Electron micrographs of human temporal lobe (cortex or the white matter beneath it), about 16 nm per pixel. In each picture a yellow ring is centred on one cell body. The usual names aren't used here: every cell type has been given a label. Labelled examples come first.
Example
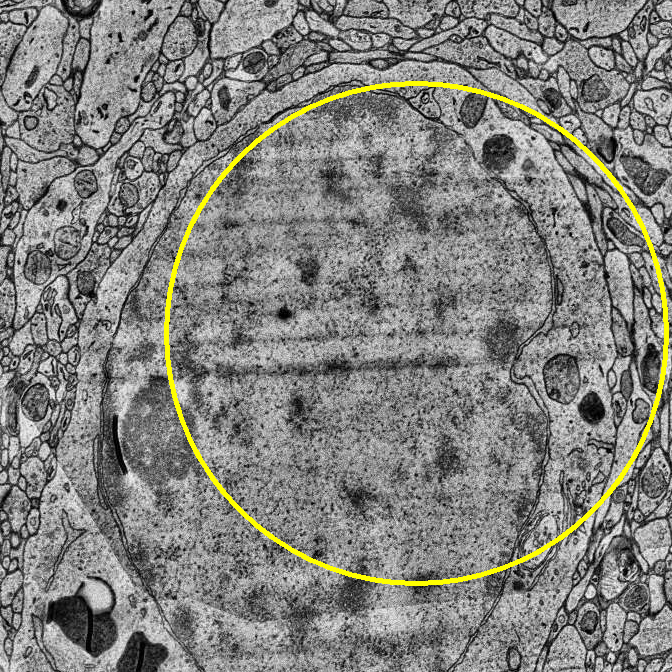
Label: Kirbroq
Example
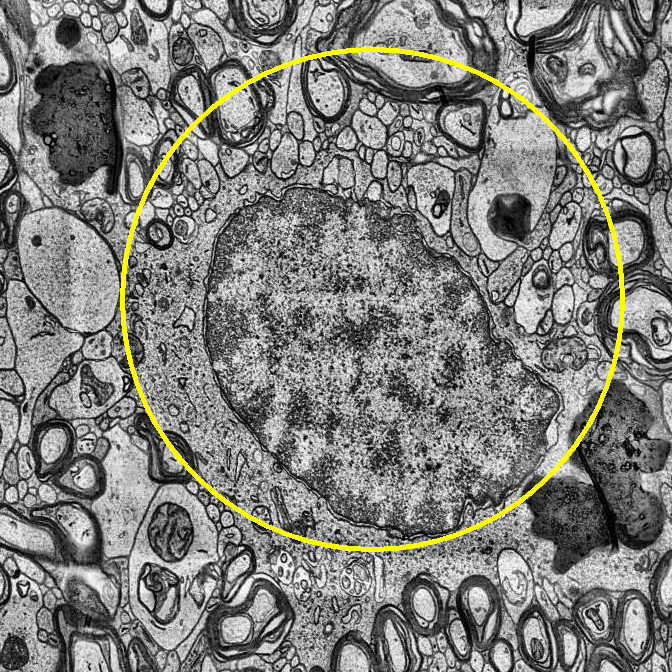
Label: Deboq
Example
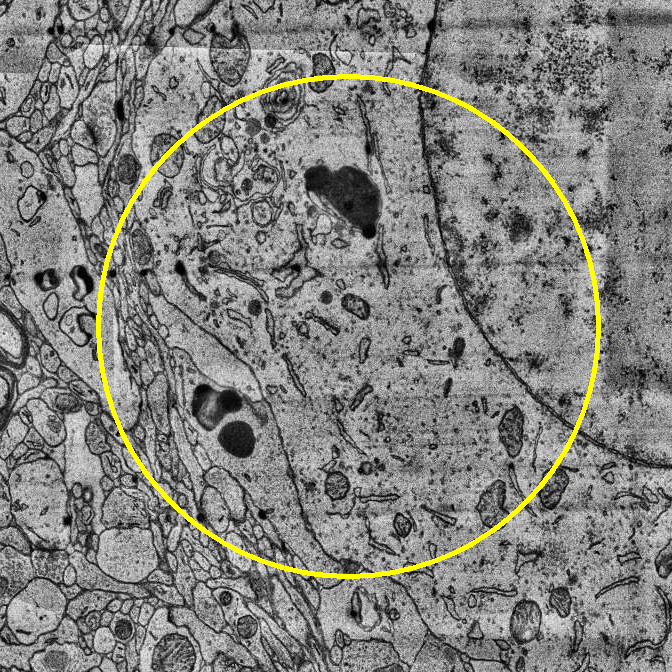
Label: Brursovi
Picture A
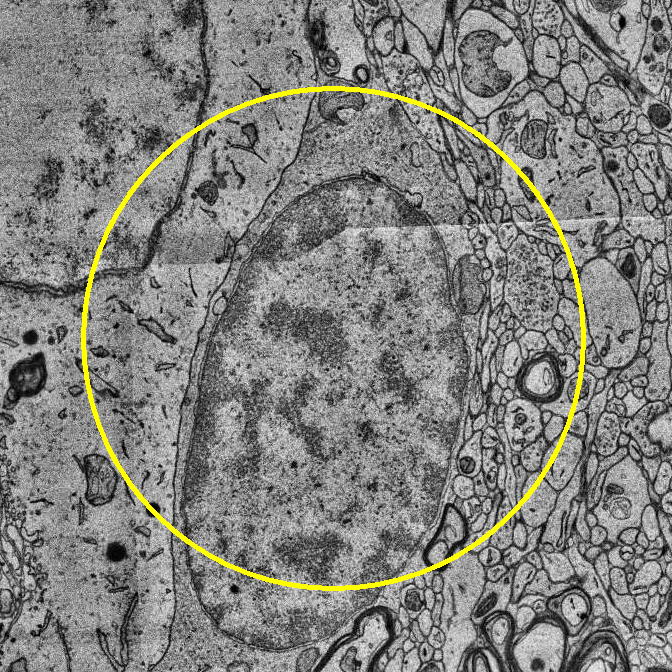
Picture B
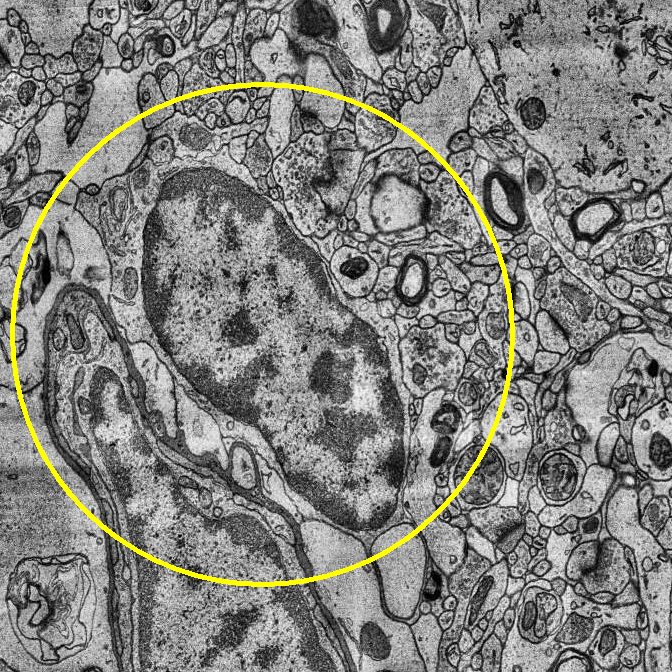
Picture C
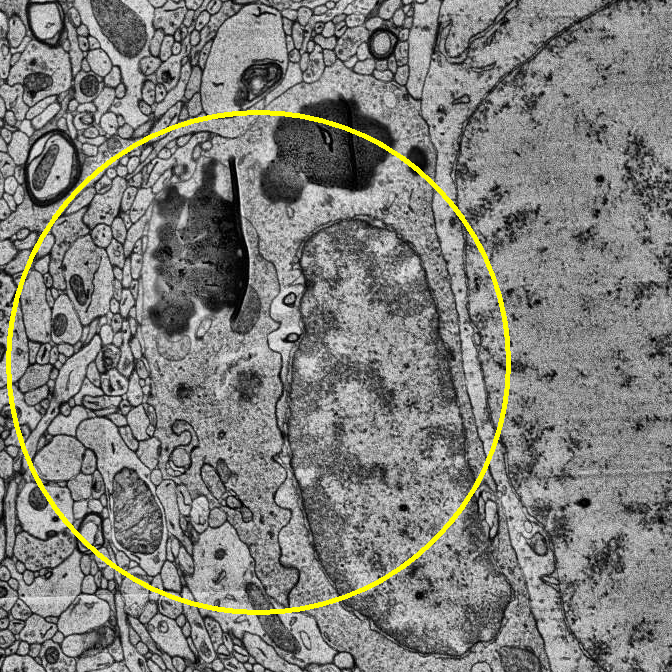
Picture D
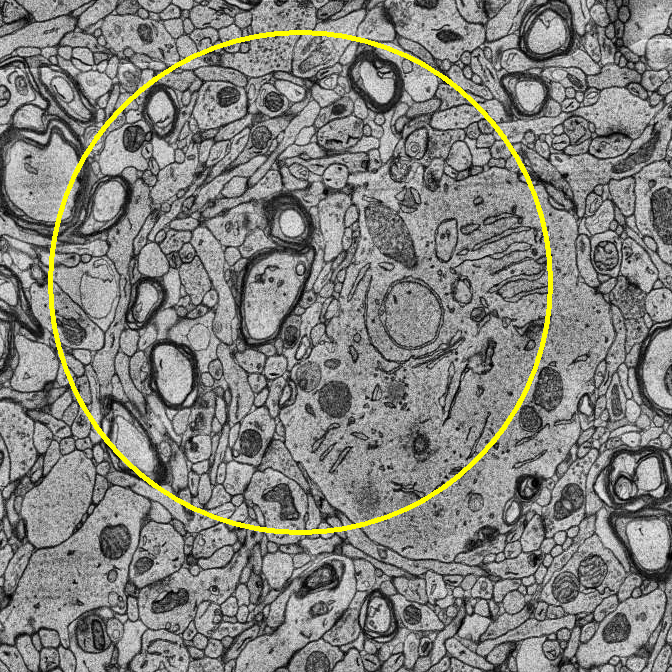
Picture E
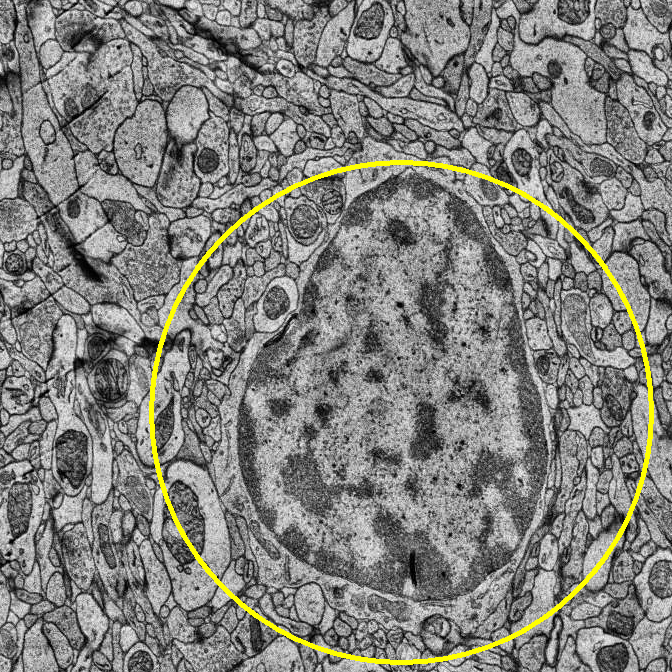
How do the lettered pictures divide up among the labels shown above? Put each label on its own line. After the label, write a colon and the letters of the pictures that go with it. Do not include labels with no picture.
Deboq: A, C
Brursovi: B, D, E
